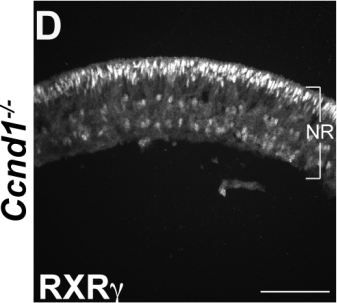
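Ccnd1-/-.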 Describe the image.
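The retina is a curved band; along its outer edge the labelled cells are crowded into a bright, dense row of small, radially elongated nuclei. Below this row many further labelled cells lie scattered through the middle of the retinal thickness, less bright and rounder, so that much of the band is speckled with signal. The inner edge of the retina is faint, and the dark space below it is the region inward of the retina with a few stray bright fragments.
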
